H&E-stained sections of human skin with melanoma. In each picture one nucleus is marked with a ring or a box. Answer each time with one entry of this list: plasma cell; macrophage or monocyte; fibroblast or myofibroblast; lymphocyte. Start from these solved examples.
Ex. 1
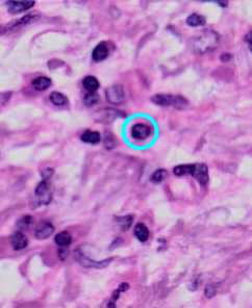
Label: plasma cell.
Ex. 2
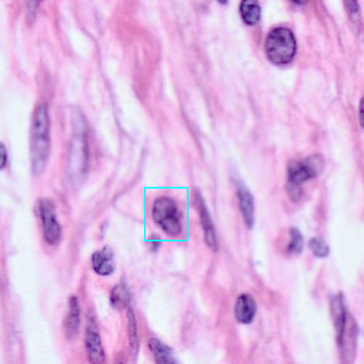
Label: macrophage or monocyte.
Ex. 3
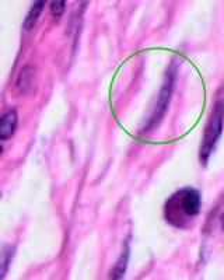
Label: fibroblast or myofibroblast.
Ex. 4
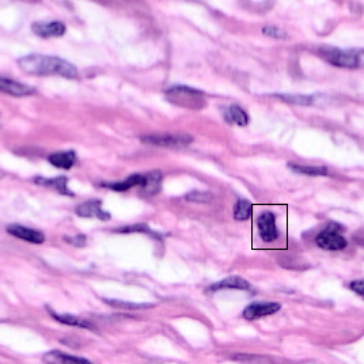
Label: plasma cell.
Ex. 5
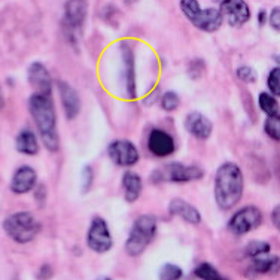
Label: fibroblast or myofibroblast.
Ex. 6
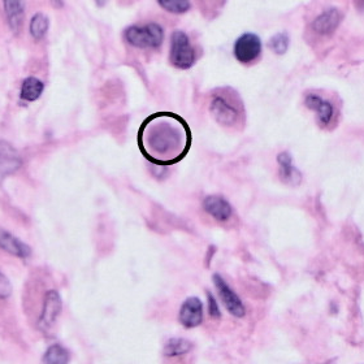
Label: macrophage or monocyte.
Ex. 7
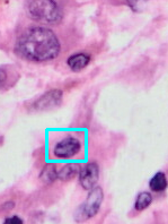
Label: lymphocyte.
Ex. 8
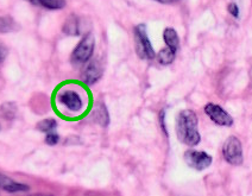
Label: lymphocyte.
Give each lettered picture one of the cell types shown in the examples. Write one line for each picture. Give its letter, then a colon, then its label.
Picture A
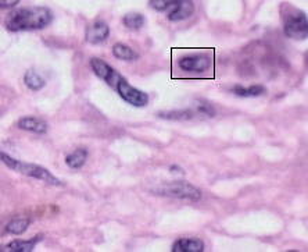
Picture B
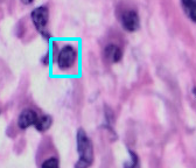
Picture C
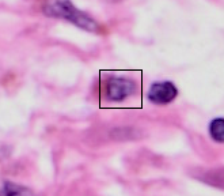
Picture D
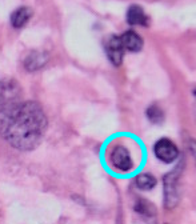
A: macrophage or monocyte.
B: lymphocyte.
C: macrophage or monocyte.
D: lymphocyte.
